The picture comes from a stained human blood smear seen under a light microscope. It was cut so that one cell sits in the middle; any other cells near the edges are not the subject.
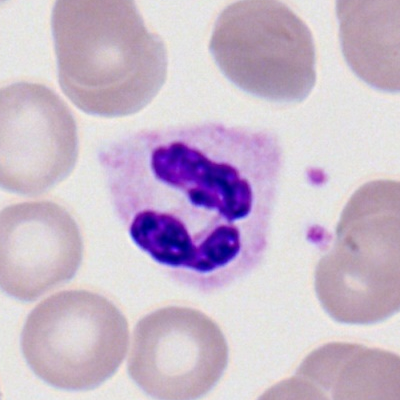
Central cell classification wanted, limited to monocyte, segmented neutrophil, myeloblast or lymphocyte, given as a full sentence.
The cell around which this crop is centred is a segmented neutrophil.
